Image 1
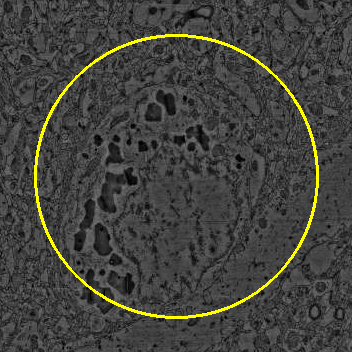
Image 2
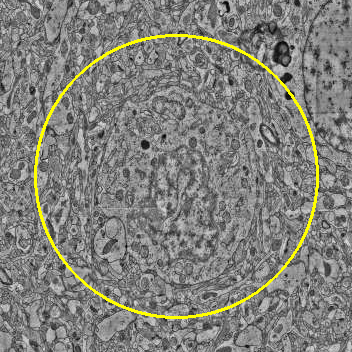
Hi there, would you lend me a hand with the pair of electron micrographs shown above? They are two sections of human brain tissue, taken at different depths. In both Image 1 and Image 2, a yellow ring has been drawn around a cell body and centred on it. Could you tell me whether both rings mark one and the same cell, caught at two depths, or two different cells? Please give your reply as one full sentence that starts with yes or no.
No, the ringed cells are two separate cells.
